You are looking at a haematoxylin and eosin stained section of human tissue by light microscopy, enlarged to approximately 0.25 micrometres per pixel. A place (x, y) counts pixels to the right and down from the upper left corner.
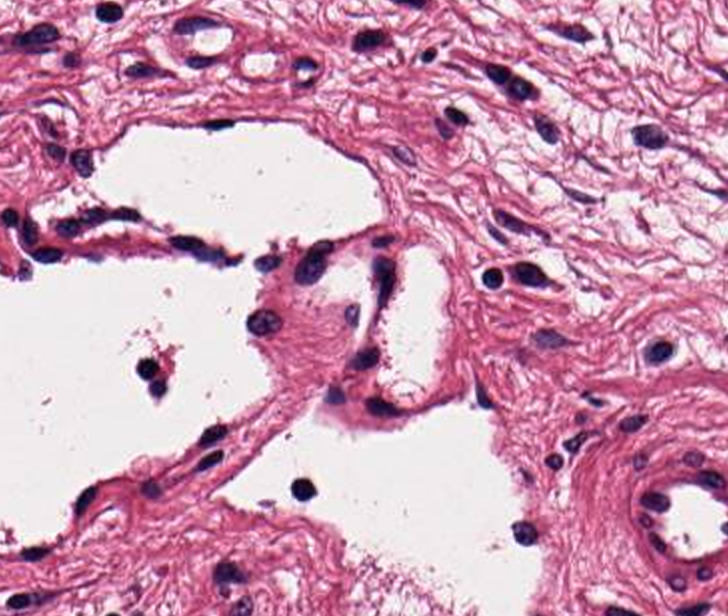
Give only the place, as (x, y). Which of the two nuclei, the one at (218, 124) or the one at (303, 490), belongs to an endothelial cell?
(218, 124)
